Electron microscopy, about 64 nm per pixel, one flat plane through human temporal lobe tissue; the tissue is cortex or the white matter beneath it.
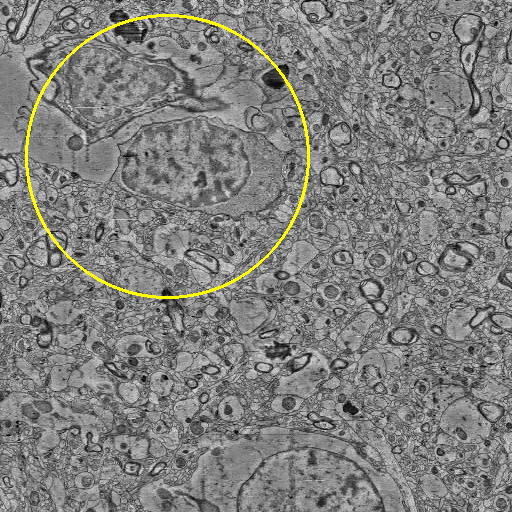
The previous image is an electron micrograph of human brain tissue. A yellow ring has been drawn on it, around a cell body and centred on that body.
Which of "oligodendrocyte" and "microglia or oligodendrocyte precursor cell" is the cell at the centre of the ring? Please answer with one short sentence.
The cell body at the centre of the ring belongs to an oligodendrocyte.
